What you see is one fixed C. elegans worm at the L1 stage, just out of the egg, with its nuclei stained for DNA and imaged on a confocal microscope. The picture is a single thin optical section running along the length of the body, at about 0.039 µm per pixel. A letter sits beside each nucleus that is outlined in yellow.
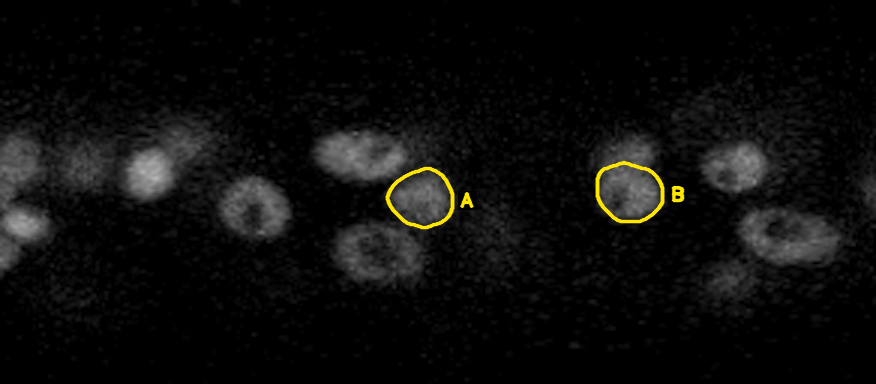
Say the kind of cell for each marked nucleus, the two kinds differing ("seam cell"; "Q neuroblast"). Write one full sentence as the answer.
Nucleus A comes from a Q neuroblast and nucleus B from a seam cell.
